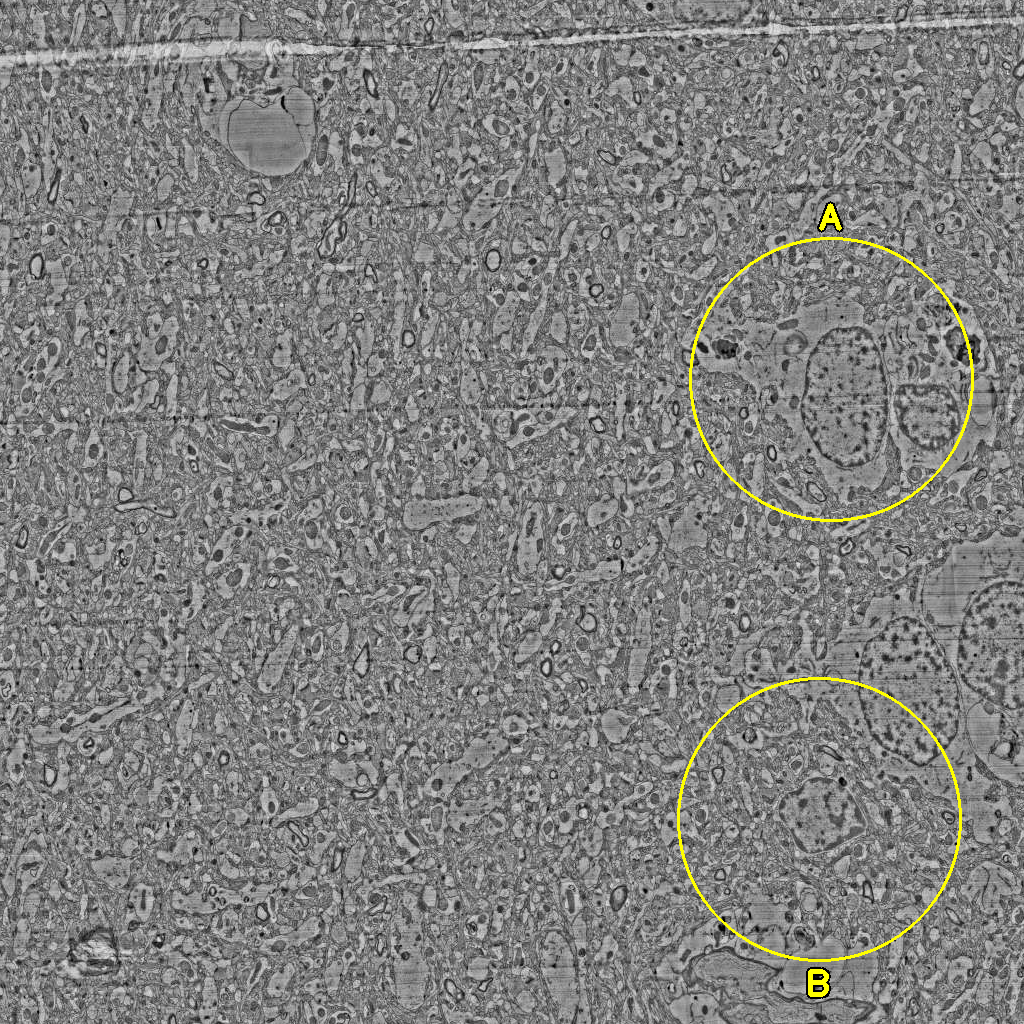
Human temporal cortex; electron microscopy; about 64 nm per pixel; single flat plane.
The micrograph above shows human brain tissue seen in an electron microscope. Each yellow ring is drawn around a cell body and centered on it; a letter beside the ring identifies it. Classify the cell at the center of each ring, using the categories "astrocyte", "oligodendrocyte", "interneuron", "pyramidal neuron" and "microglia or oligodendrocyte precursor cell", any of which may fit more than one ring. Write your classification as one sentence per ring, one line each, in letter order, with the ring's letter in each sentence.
Ring A is centered on an astrocyte.
Ring B is centered on a microglial cell or oligodendrocyte precursor cell.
